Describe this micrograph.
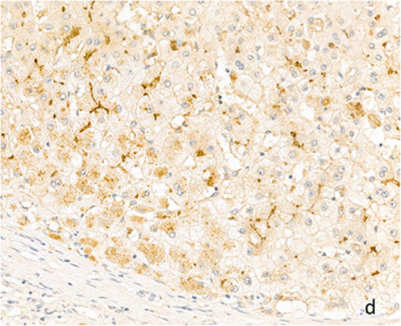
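This is liver with hepatocytes above and a band of fibrous tissue with small elongated nuclei below. Brown stain outlines some of the fine channels between hepatocytes, but these lines are patchy and uneven rather than forming a continuous network. Many hepatocytes instead hold coarse brown granules scattered in their cytoplasm, while others are pale. The hepatocytes have round blue nuclei and often pale, swollen-looking cytoplasm. The fibrous tissue is unstained.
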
